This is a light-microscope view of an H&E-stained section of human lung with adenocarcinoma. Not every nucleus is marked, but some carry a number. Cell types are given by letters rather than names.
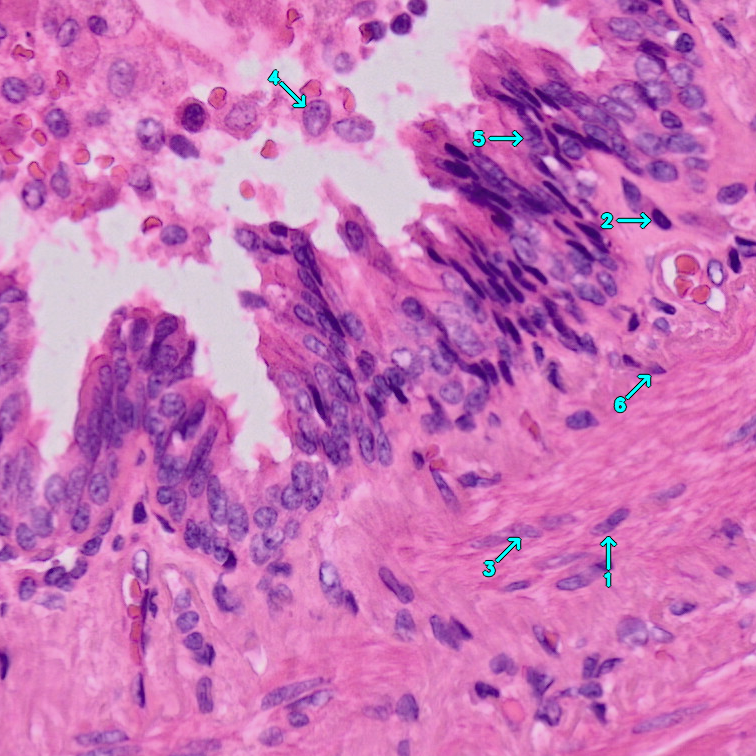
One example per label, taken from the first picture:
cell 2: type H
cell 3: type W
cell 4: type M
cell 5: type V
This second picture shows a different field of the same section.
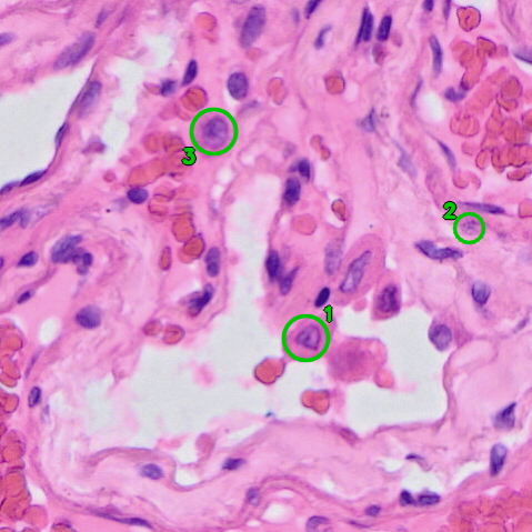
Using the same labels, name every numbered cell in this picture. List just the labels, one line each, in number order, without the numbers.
type M
type W
type M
